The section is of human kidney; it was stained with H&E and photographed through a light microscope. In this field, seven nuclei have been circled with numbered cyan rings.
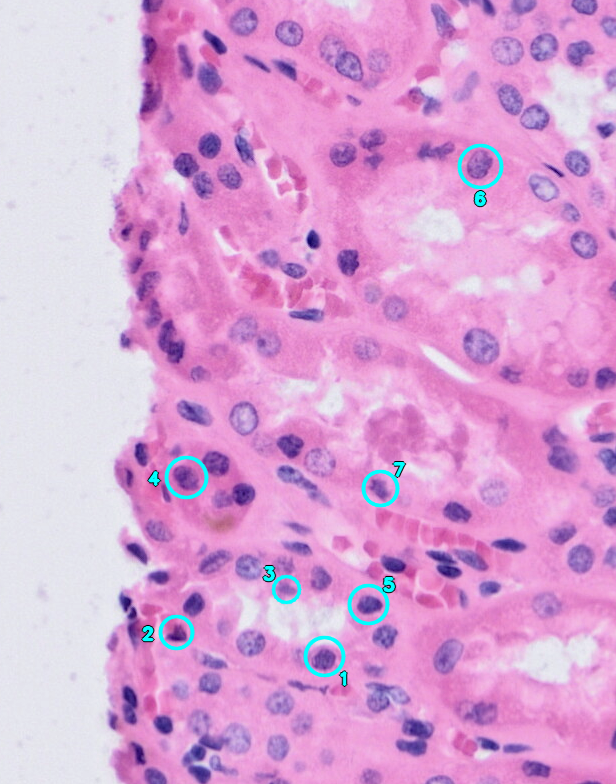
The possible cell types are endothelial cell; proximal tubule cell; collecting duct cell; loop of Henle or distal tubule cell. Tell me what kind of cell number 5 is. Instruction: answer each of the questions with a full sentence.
Looking at the numbered marks, cell 5 is a loop of Henle or distal tubule cell.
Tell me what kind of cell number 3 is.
At number 3, the marked cell is a loop of Henle or distal tubule cell.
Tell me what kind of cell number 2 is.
Identified as an endothelial cell is the cell bearing the number 2.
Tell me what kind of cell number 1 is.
The cell marked with number 1 is a loop of Henle or distal tubule cell.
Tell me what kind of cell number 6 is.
The cell carrying label 6 is identified as a proximal tubule cell.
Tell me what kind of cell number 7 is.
Denoted by the label 7 in the section is a proximal tubule cell.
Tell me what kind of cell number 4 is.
The expected answer is that cell 4 is a proximal tubule cell.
